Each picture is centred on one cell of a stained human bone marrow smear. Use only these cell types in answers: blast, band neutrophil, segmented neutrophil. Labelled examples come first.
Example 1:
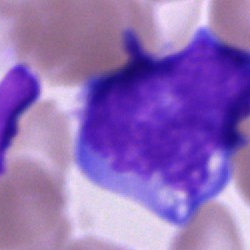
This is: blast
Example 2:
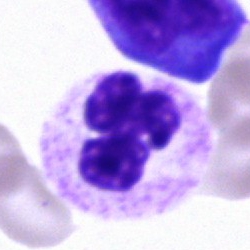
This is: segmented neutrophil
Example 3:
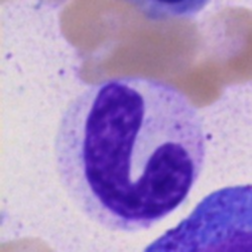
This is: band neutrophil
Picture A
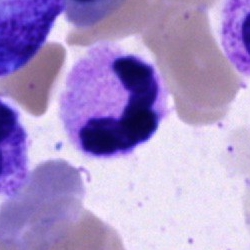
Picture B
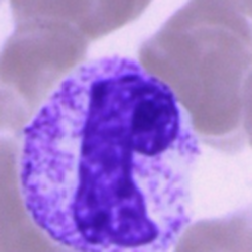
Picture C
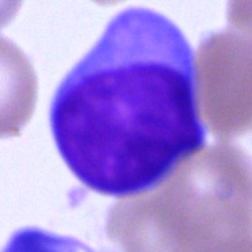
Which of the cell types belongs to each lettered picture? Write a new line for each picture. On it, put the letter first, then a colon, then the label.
A: segmented neutrophil
B: band neutrophil
C: blast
